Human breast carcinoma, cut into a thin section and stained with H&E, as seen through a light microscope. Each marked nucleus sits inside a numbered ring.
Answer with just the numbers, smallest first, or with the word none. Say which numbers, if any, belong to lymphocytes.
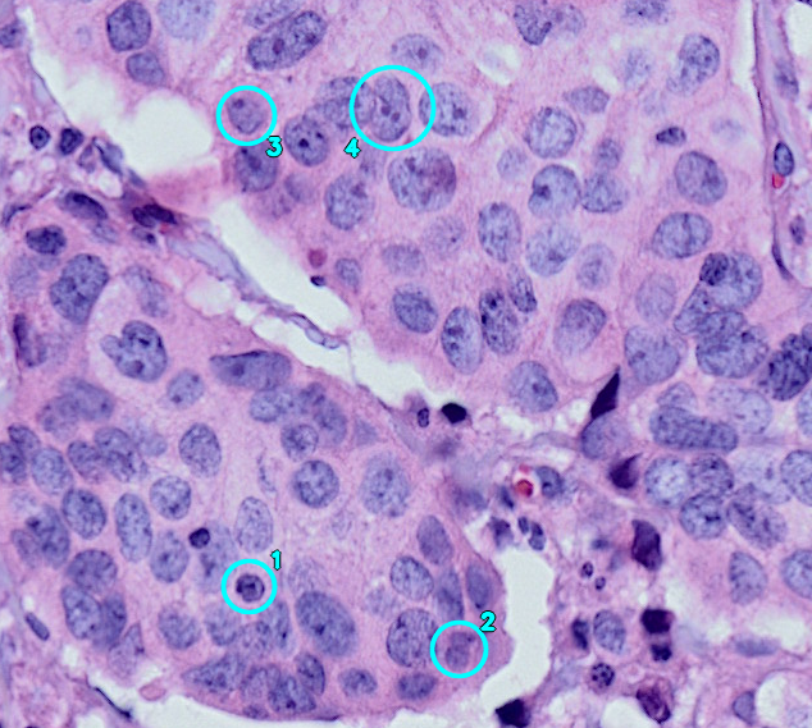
1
